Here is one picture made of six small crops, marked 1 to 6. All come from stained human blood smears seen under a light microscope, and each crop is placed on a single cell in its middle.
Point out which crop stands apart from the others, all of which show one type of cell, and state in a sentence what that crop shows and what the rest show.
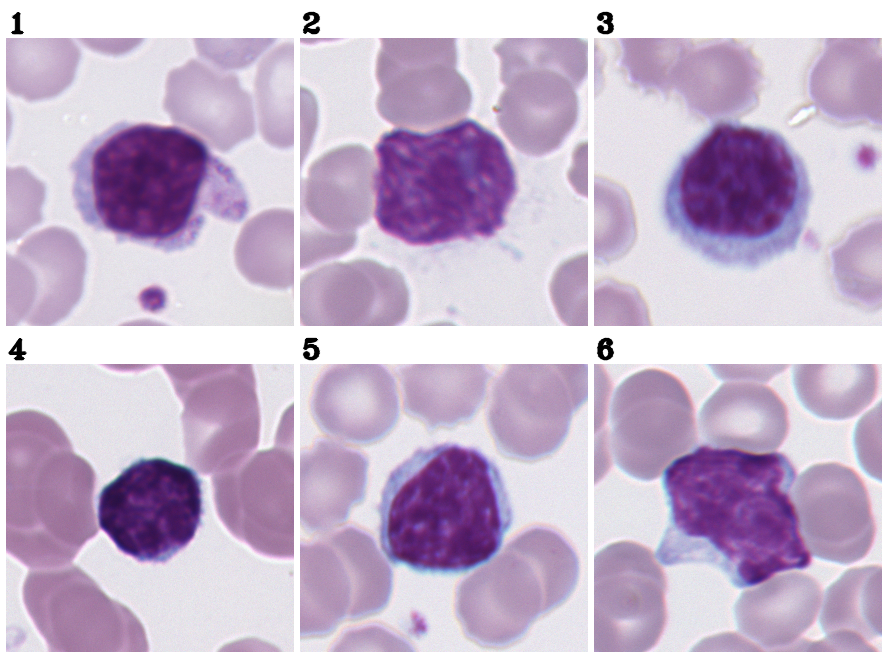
Crop 2 is the exception in this set, showing a smudge cell while the others show typical lymphocytes.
